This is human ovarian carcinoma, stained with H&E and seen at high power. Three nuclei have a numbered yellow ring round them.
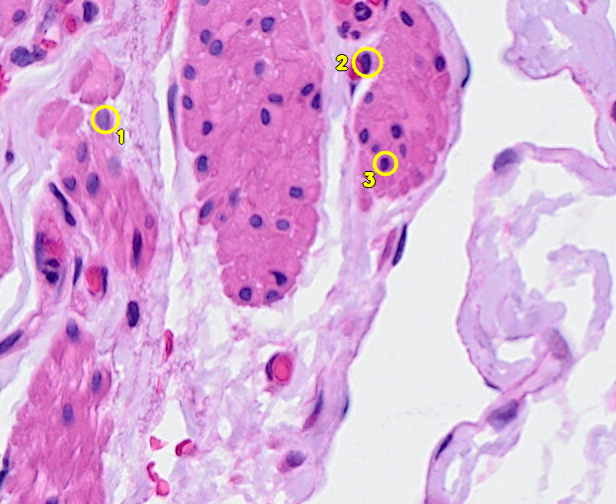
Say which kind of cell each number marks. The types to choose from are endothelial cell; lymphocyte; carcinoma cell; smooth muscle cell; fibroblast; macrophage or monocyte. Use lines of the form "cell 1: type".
cell 1: smooth muscle cell
cell 2: endothelial cell
cell 3: smooth muscle cell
